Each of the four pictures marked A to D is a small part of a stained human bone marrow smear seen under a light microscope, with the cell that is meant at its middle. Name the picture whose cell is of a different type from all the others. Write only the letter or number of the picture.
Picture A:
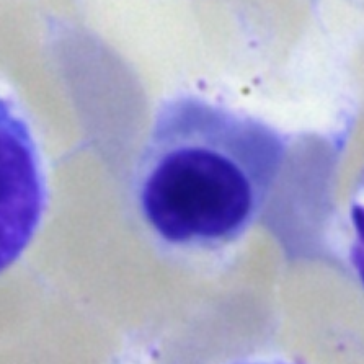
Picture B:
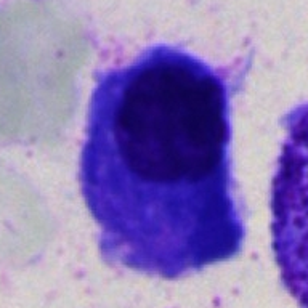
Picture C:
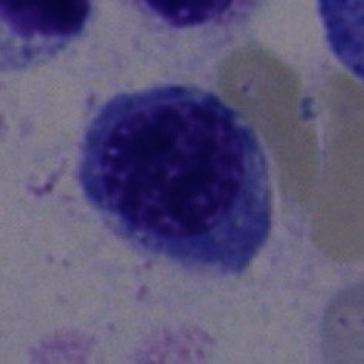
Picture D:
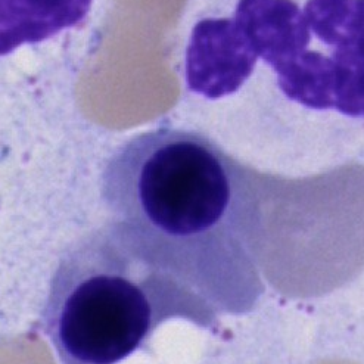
B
